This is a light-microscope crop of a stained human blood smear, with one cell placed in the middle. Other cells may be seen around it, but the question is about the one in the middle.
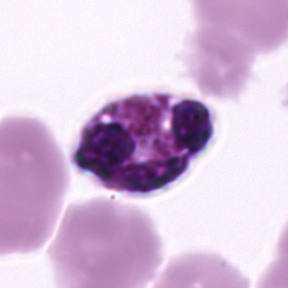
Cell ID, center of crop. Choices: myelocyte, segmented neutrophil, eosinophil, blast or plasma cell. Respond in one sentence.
The middle position in this crop is taken by an eosinophil.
